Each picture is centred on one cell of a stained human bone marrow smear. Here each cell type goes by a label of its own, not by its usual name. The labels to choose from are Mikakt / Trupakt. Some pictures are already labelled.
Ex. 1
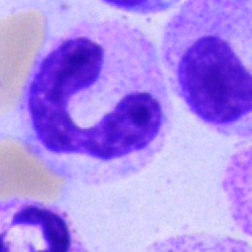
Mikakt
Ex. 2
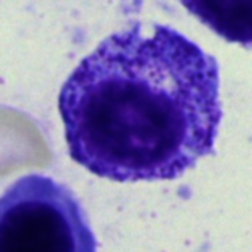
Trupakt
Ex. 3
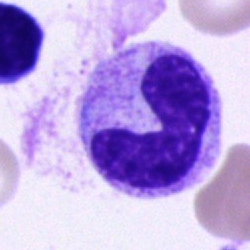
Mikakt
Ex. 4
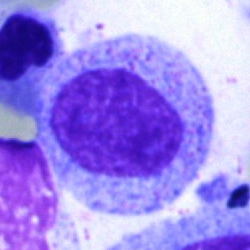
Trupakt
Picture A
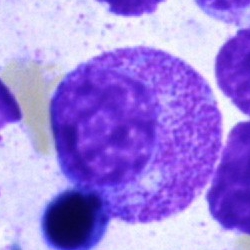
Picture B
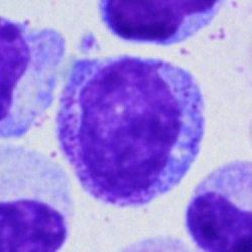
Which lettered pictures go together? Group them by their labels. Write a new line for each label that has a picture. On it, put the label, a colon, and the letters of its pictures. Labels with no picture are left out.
Trupakt: A, B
